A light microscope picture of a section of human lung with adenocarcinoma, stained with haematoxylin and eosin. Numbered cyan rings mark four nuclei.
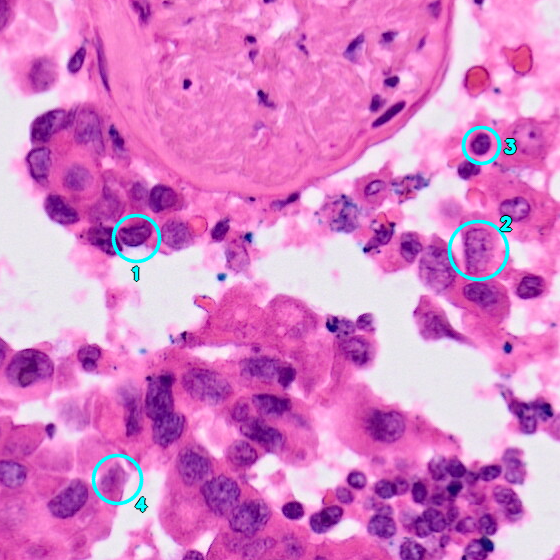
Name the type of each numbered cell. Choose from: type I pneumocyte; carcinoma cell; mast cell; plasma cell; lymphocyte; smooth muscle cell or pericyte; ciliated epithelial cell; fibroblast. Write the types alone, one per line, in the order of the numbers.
carcinoma cell
carcinoma cell
lymphocyte
carcinoma cell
